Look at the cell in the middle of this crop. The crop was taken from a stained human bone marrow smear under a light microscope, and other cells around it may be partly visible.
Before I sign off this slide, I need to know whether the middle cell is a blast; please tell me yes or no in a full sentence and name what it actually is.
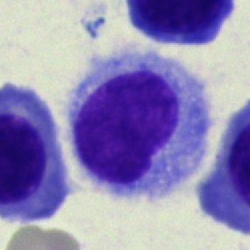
No, looking at the central cell, it is a hairy cell rather than a blast.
